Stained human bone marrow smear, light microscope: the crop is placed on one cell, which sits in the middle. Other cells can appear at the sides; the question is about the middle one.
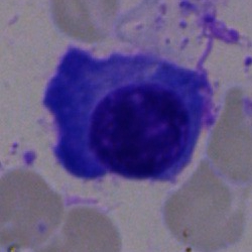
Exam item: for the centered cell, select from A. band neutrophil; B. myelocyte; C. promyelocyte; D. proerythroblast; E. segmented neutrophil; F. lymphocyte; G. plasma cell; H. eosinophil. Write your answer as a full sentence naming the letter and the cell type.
The best answer is option G, since the cell in the middle is a plasma cell.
